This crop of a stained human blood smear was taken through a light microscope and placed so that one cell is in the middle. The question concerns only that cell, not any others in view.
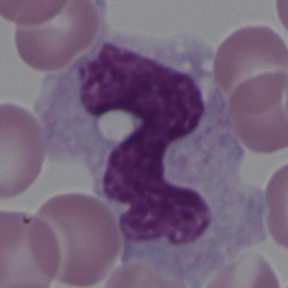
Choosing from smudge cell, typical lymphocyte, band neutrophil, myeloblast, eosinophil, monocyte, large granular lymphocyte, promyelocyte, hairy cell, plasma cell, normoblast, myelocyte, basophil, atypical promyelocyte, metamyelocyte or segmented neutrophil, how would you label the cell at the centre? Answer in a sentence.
Positioned in the middle of the crop is a monocyte.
